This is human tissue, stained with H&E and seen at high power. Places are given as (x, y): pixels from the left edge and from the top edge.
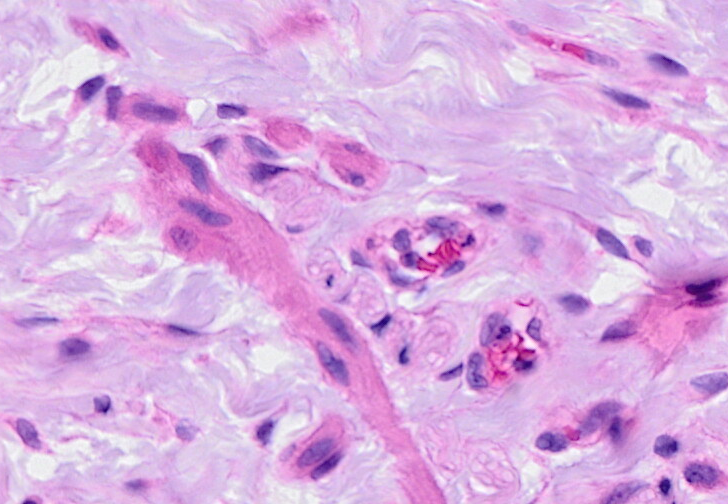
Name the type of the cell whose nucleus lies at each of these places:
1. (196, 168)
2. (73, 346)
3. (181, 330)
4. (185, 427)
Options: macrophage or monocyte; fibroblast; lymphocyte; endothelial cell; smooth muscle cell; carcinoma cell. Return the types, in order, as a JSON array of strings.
["smooth muscle cell", "fibroblast", "fibroblast", "fibroblast"]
